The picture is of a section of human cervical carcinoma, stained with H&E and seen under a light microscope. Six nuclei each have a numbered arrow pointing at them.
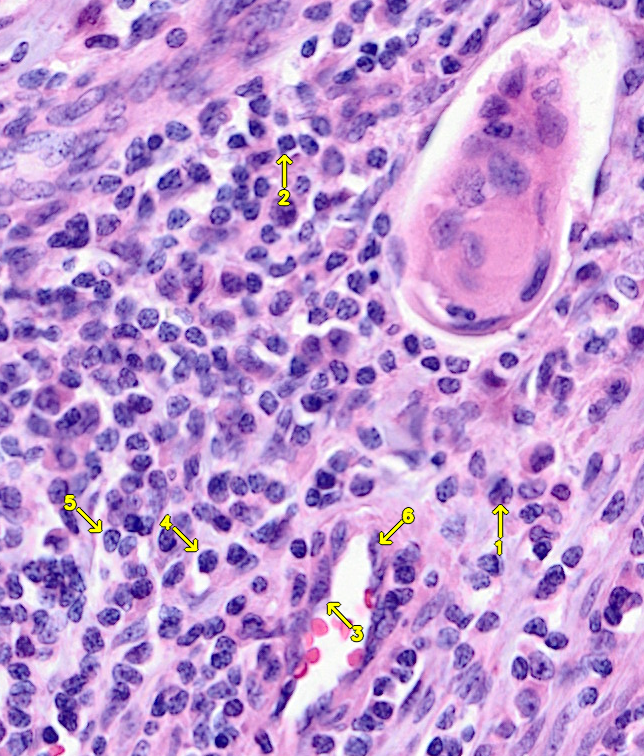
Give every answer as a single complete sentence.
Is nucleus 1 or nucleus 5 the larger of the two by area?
At about 1.5 times the area of nucleus 5, nucleus 1 is the larger of the two.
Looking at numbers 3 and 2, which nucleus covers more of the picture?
Nucleus 3 covers more area, about 1.5 times as much as nucleus 2.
